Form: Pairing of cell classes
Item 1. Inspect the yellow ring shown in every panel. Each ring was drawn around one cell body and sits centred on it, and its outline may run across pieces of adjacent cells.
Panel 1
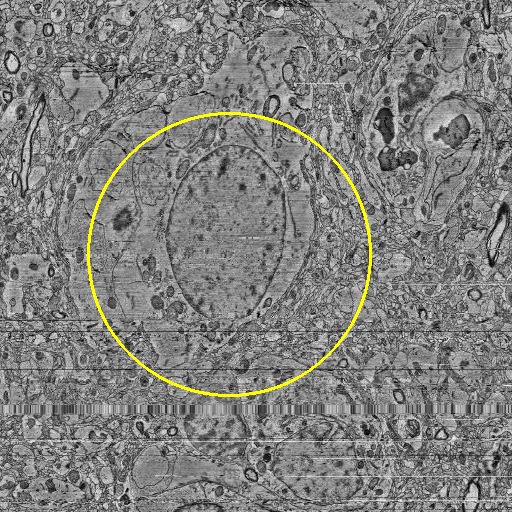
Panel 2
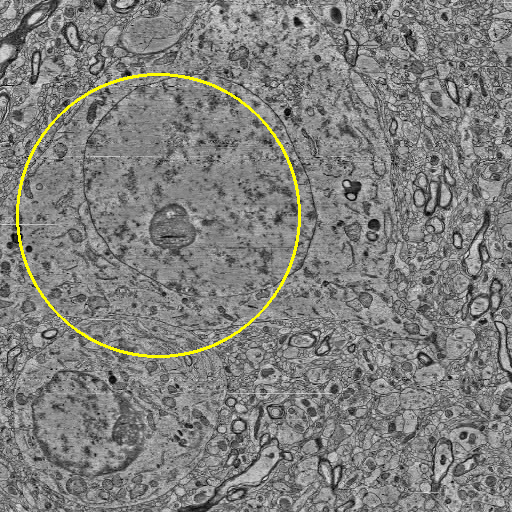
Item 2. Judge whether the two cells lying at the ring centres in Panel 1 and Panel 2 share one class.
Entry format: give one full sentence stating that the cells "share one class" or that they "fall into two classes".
The cells at the ring centres in Panel 1 and Panel 2 fall into two classes.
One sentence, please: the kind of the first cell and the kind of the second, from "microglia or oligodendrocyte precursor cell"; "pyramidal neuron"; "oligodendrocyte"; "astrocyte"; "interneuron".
The ring in the first picture surrounds an astrocyte, and the ring in the second surrounds a pyramidal neuron.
